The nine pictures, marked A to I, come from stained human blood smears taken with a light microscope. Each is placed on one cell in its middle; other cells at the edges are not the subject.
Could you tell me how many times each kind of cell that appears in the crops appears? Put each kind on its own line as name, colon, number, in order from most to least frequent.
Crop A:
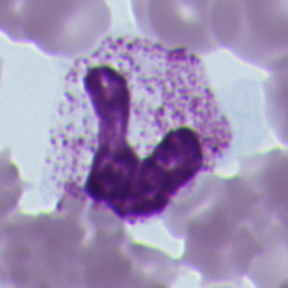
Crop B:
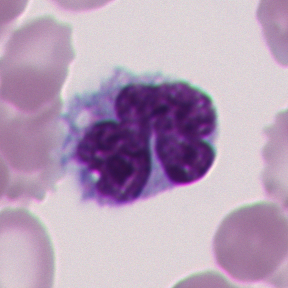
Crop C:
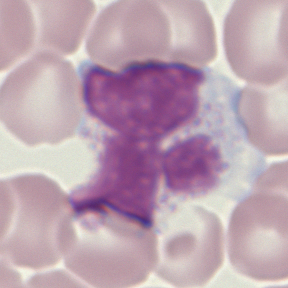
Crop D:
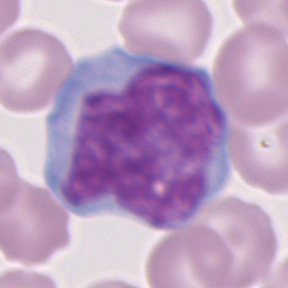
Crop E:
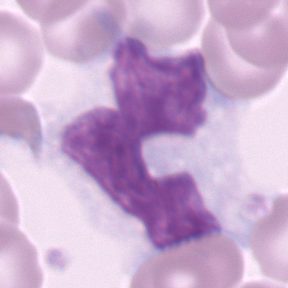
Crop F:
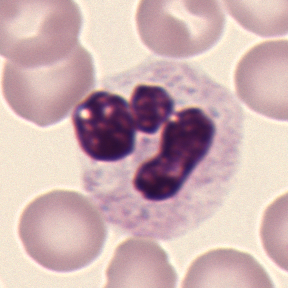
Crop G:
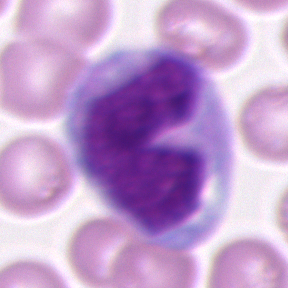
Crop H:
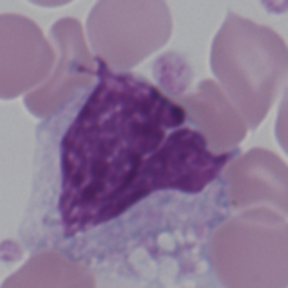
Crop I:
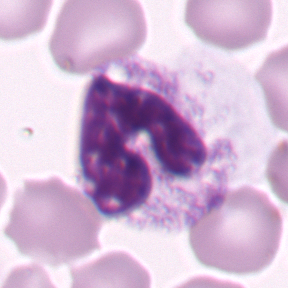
monocyte: 6
neutrophil: 3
